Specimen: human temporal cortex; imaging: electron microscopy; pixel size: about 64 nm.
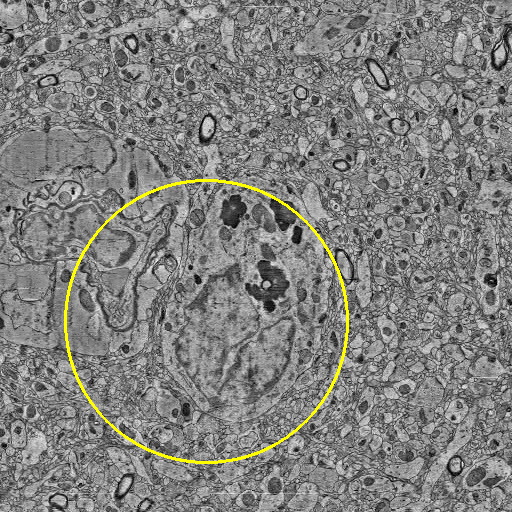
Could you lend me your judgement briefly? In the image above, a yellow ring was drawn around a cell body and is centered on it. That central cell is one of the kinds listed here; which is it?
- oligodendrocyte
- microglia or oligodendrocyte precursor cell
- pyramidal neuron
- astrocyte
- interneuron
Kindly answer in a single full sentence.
Going by the list, an interneuron is the kind at the ring's center in the picture.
